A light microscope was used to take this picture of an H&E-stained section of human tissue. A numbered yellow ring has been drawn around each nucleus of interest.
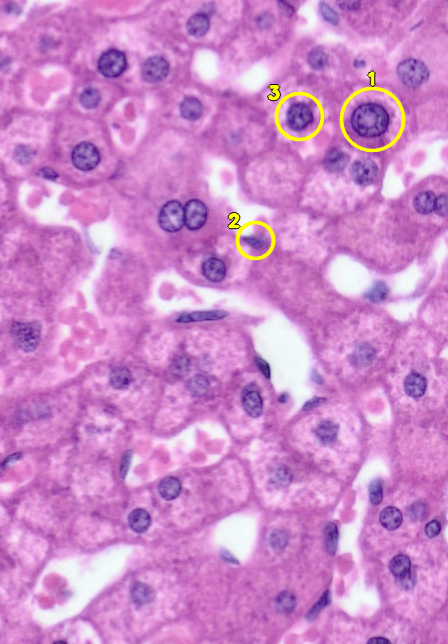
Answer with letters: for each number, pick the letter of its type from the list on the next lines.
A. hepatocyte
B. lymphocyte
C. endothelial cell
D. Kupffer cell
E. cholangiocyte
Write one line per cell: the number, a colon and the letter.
1: A
2: C
3: A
